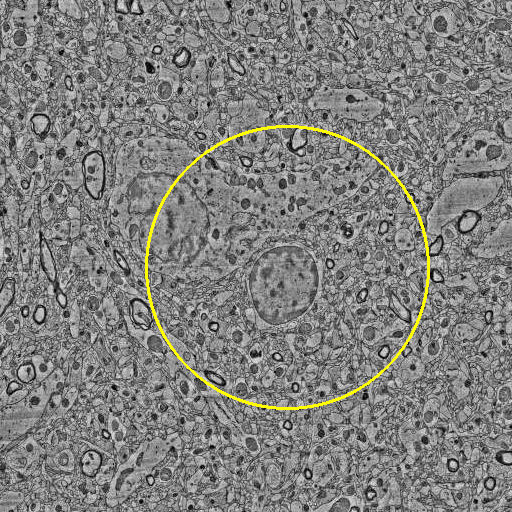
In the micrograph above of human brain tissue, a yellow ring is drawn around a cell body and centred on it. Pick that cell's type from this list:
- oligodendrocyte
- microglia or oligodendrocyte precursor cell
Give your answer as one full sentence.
Going by the list, a microglial cell or oligodendrocyte precursor cell is the cell on which the yellow ring is centred.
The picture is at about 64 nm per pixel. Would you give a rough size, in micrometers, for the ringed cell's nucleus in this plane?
Roughly 5 by 4 micrometres in this plane, for the nucleus of the ringed cell.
